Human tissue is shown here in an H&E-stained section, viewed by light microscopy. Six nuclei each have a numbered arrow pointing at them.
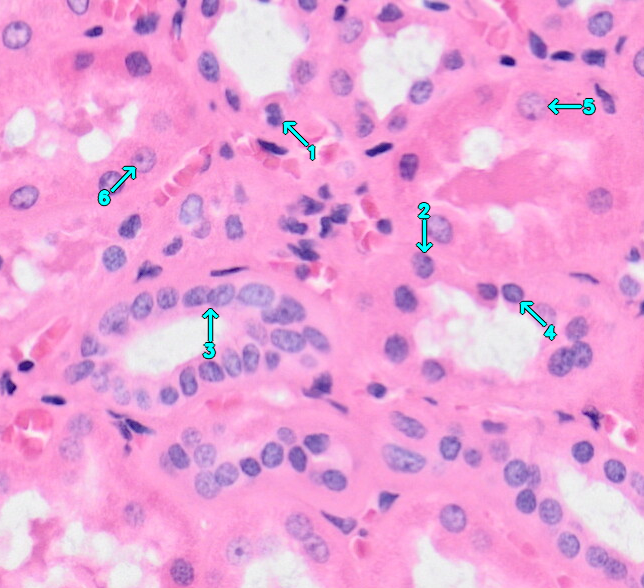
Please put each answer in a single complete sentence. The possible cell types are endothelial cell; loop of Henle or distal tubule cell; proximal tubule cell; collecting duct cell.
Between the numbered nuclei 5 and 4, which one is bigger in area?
The larger nucleus is 5, at roughly 1.5 times the area of 4.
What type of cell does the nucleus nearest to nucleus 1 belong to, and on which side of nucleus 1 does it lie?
Lying below nucleus 1, the nearest nucleus is that of an endothelial cell.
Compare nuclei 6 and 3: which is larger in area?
Of the two, number 3 is bigger and takes up about 1.5 times the area of number 6.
